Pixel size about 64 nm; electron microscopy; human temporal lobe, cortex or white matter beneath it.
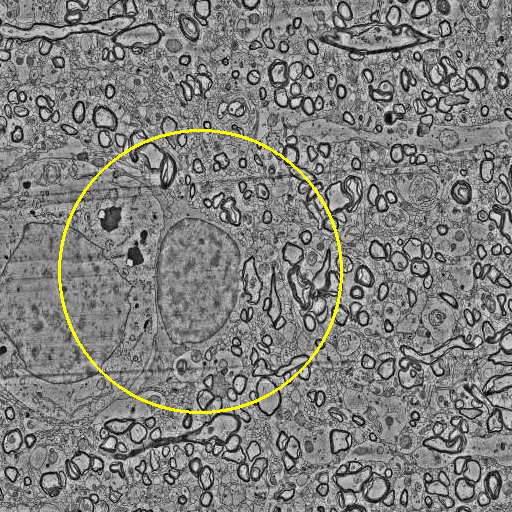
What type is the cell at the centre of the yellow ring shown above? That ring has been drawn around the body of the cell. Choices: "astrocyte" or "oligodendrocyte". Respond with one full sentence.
My answer is that an oligodendrocyte lies at the centre of the yellow ring above.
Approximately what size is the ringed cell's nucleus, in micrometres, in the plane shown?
Roughly 8 by 6 micrometres in this plane, for the nucleus of the ringed cell.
